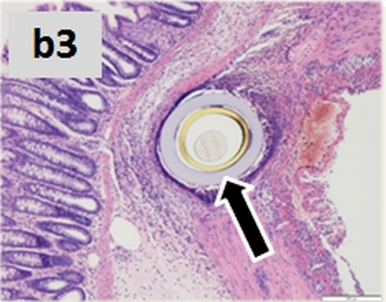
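Colonic wall with mucosal crypts on the left and a round foreign body cross-section in the submucosa. The crypts are straight tubular glands lined by columnar epithelium with pale goblet vacuoles. The foreign body is circular with concentric pale and yellowish rings and is surrounded by a dense band of purple-nucleated inflammatory cells forming a granuloma. Pink muscular and connective tissue lies to the right of the lesion, with a red area of extravasated blood at its edge.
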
